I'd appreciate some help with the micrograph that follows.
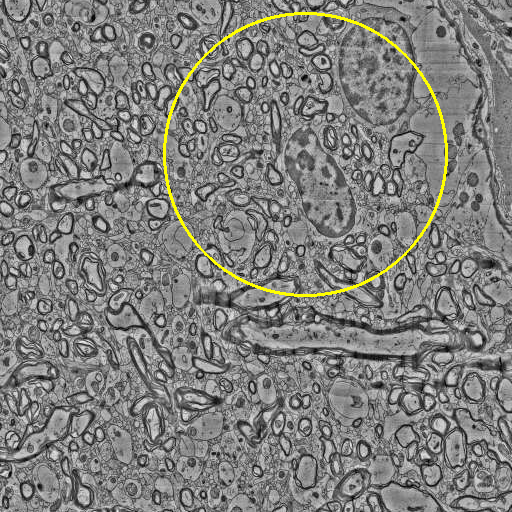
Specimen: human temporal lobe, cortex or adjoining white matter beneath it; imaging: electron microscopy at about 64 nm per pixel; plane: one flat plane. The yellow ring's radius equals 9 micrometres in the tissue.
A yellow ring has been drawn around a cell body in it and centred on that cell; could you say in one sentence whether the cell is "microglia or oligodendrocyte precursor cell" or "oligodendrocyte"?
It is a microglial cell or oligodendrocyte precursor cell at the centre of the ring.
